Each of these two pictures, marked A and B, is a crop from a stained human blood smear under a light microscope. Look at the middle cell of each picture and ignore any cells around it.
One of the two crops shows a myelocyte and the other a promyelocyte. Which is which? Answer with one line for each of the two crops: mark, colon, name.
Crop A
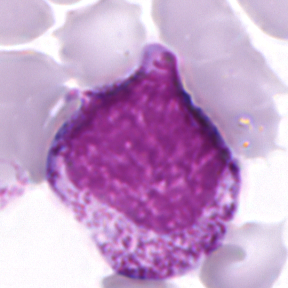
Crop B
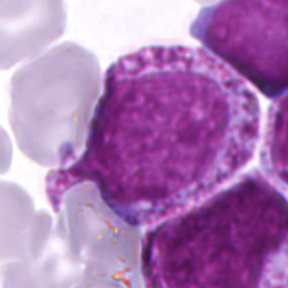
A: promyelocyte
B: myelocyte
